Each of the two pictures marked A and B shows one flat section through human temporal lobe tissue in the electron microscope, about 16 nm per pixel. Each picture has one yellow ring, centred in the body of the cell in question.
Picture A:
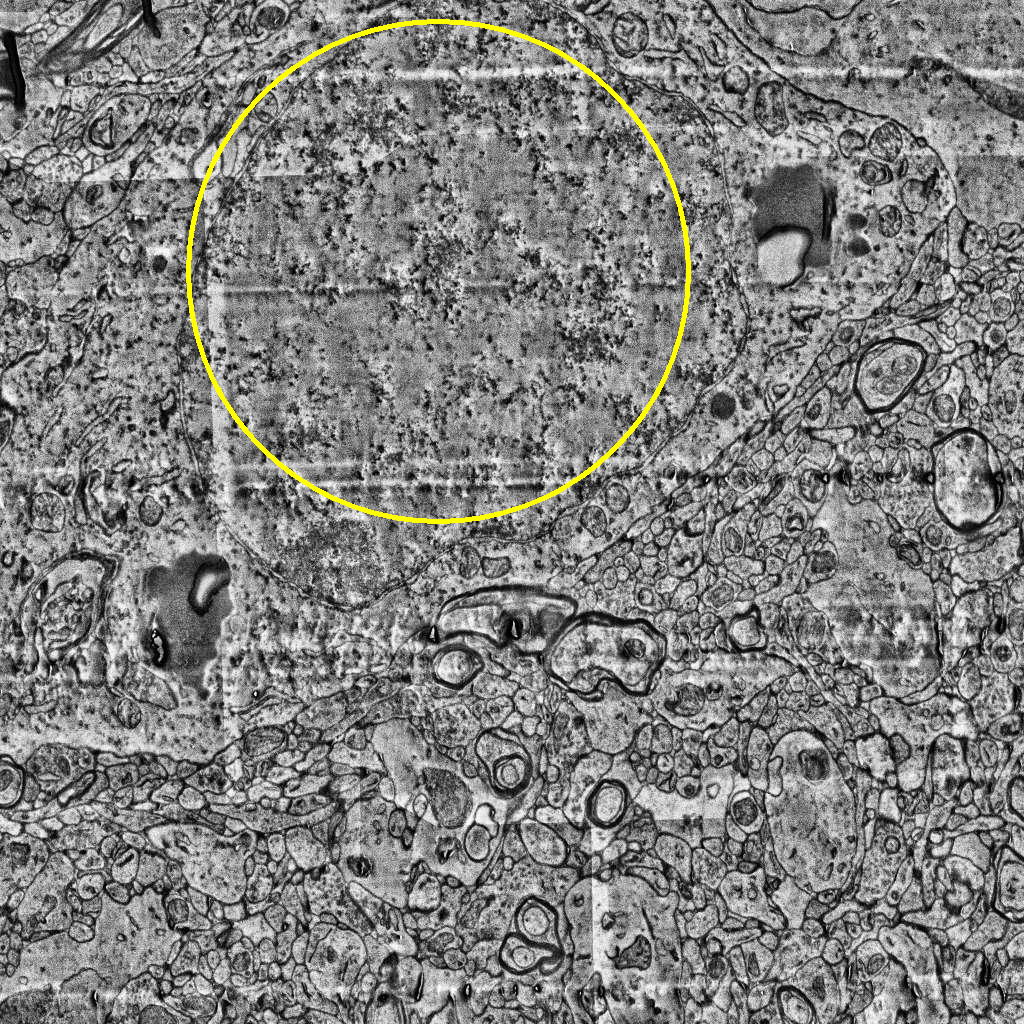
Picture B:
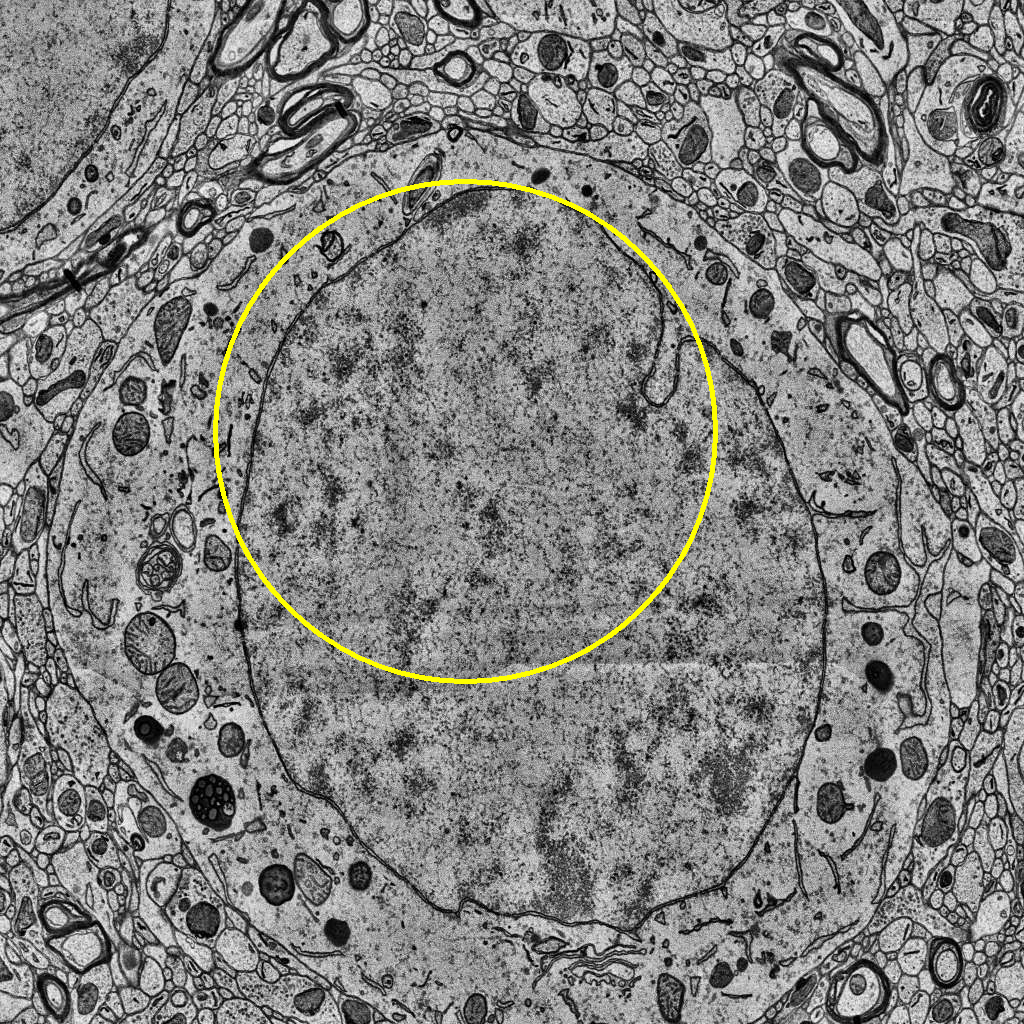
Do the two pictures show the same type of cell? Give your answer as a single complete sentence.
No, they differ: the cell is an interneuron in picture A and a pyramidal neuron in picture B.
